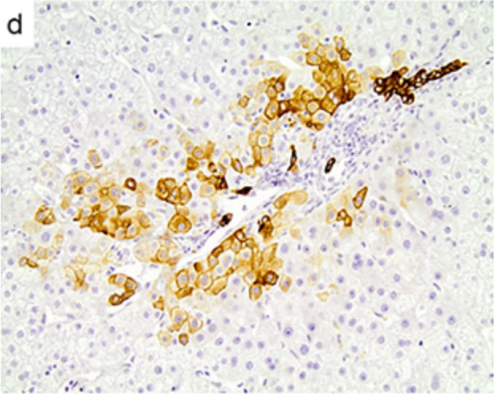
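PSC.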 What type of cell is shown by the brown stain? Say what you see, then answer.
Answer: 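Many large polygonal cells with round nuclei stain brown. The stained cells cluster around a portal tract with connective tissue and inflammatory cells. Cells farther from the portal tract are unstained.
Conclusion: periportal hepatocytes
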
